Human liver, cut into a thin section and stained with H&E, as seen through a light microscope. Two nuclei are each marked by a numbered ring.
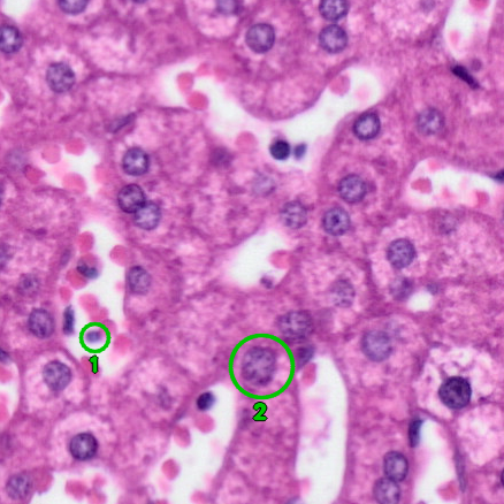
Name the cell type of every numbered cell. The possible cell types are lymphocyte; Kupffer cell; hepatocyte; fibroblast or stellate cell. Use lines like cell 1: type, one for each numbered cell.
cell 1: lymphocyte
cell 2: hepatocyte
